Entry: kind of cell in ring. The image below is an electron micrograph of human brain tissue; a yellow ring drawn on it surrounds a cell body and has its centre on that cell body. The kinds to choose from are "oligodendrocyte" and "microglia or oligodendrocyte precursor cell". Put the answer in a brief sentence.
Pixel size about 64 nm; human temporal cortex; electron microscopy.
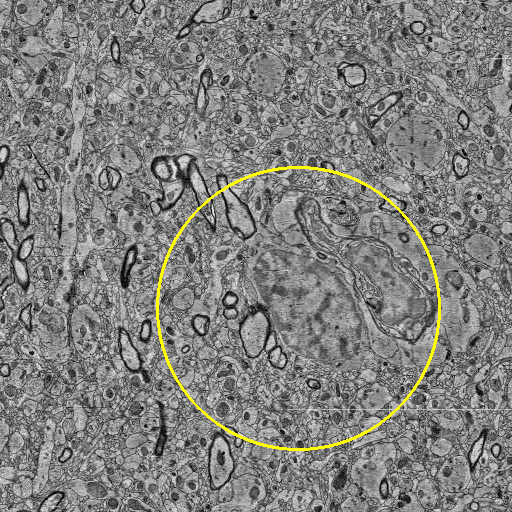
The ring has been drawn around an oligodendrocyte.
